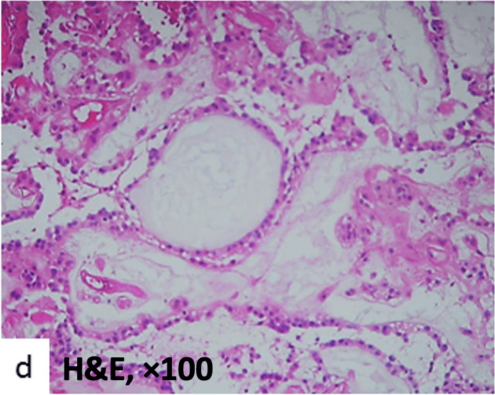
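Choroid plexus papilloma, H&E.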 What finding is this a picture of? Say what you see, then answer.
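The papillary stroma is pale, loose and watery-looking. A large round clear space is lined by a single layer of epithelial cells. The answer: degenerative or hydropic changes in the papillae.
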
